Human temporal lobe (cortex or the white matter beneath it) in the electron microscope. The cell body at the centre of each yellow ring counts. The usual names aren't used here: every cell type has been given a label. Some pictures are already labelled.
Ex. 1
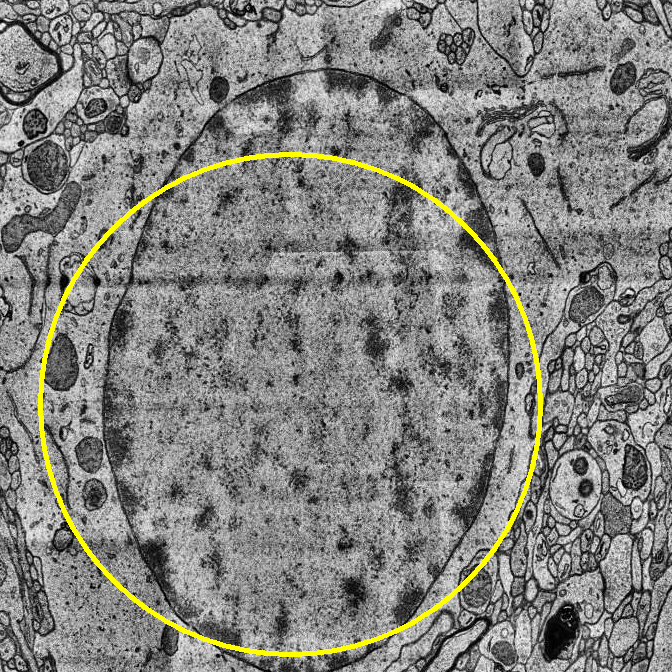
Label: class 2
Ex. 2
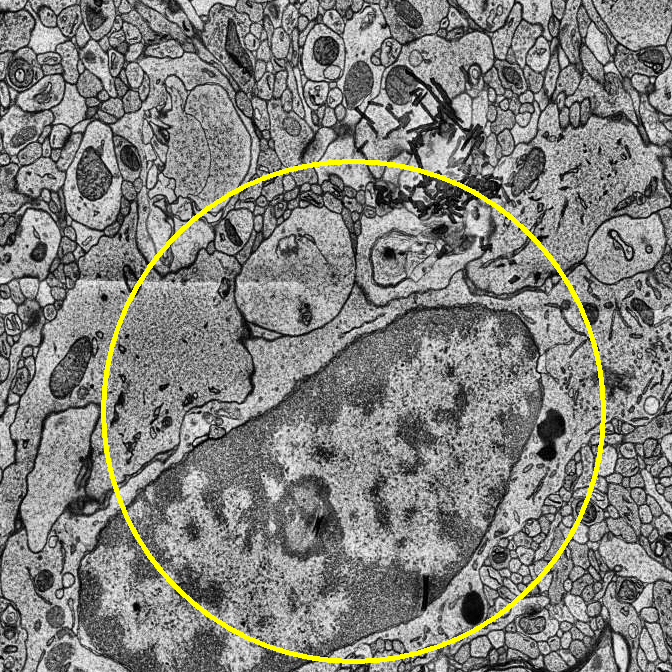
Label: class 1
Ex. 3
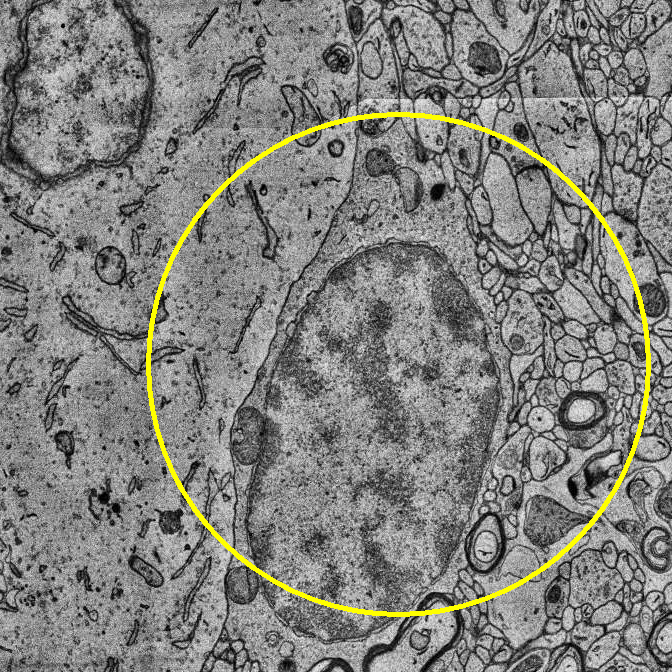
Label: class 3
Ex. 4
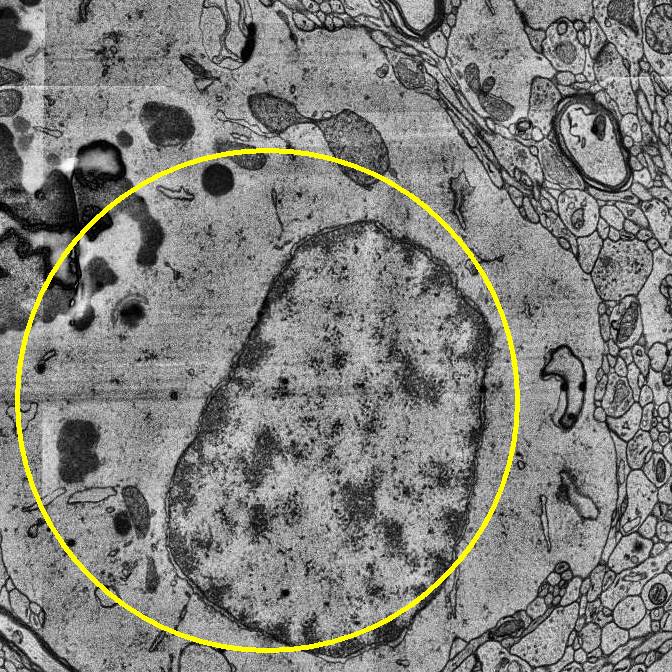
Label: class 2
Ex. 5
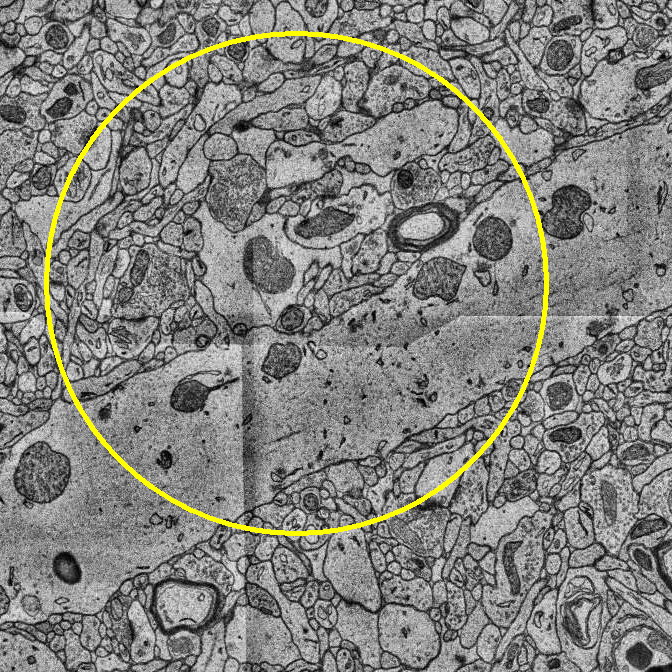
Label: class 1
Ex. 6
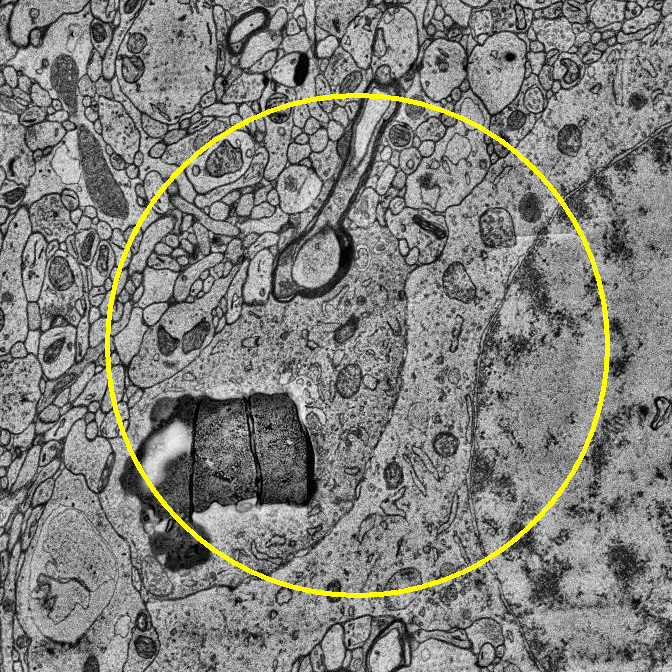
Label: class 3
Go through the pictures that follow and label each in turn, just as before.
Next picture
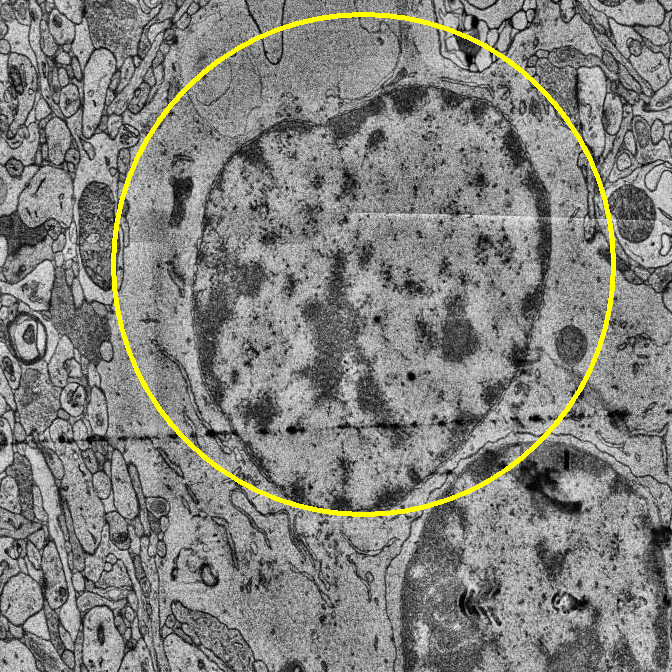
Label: class 2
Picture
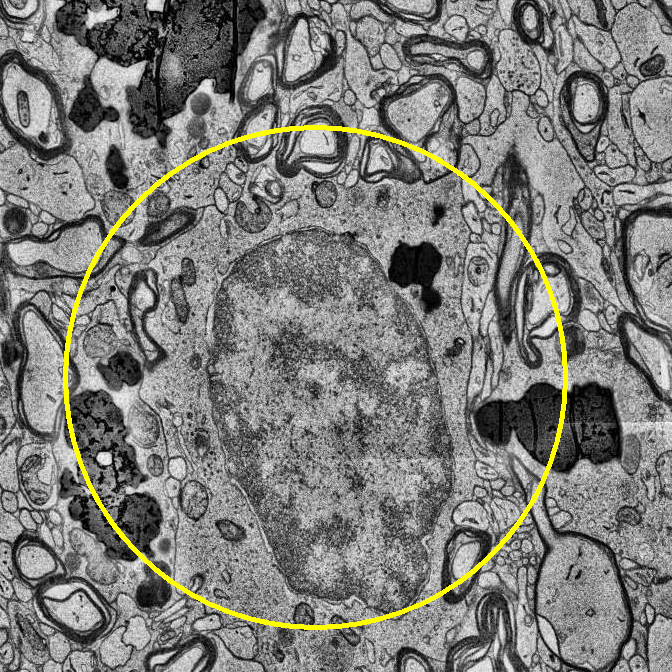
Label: class 3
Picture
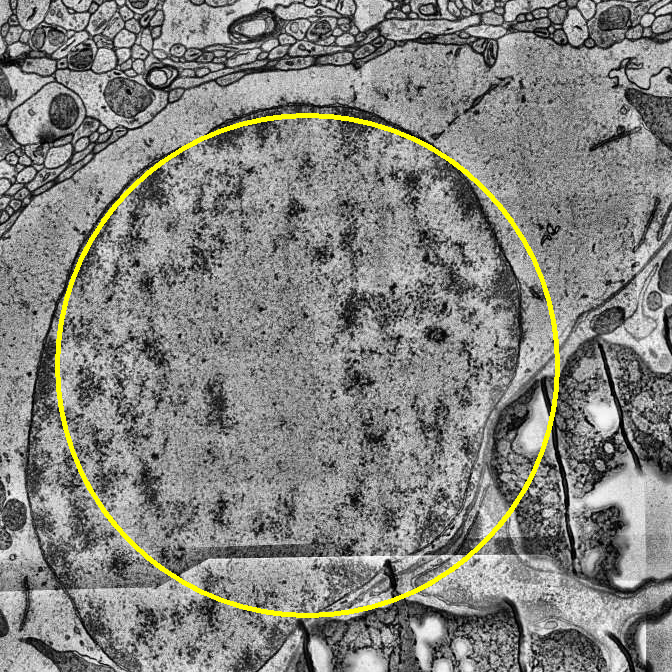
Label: class 2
